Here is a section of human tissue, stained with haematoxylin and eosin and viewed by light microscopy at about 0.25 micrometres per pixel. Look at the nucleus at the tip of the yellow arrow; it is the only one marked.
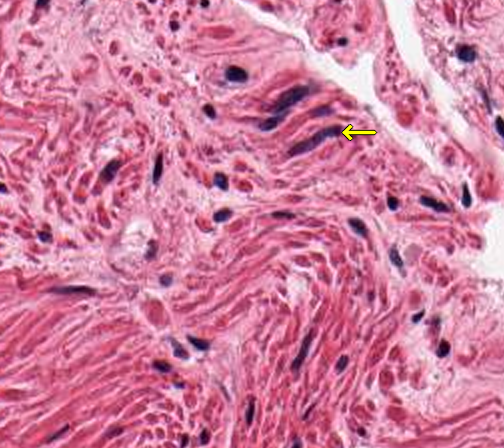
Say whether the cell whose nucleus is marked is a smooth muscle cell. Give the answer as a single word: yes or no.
yes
